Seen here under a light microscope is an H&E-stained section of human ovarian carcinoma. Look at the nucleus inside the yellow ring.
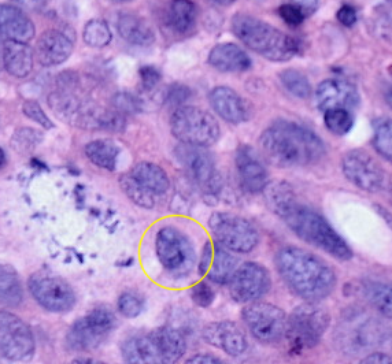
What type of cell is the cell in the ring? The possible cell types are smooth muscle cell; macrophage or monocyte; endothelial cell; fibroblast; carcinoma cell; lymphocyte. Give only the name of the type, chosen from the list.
macrophage or monocyte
